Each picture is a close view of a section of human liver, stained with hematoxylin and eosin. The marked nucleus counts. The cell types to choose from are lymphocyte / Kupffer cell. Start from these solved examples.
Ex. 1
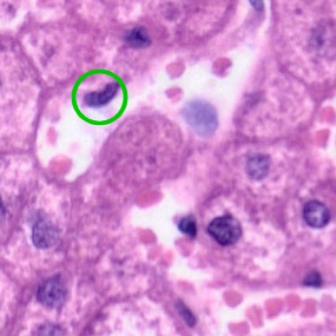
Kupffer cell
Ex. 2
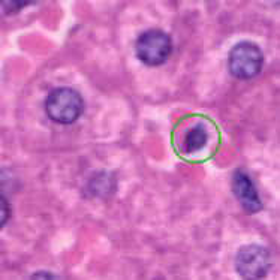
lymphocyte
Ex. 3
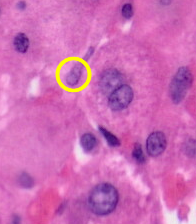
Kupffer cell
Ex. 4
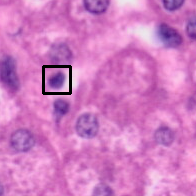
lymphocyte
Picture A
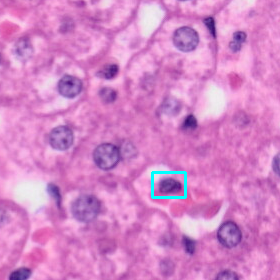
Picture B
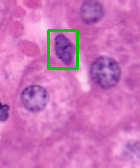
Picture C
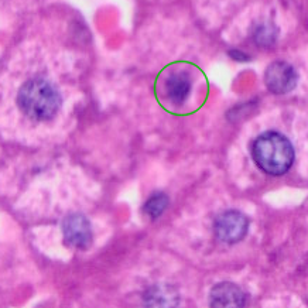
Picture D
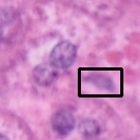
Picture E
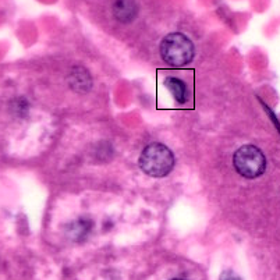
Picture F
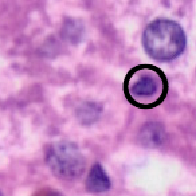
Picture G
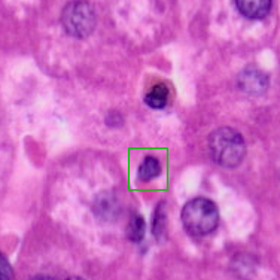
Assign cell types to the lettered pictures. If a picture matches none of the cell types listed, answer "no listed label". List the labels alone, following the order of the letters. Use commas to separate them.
Kupffer cell, Kupffer cell, no listed label, Kupffer cell, no listed label, no listed label, lymphocyte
